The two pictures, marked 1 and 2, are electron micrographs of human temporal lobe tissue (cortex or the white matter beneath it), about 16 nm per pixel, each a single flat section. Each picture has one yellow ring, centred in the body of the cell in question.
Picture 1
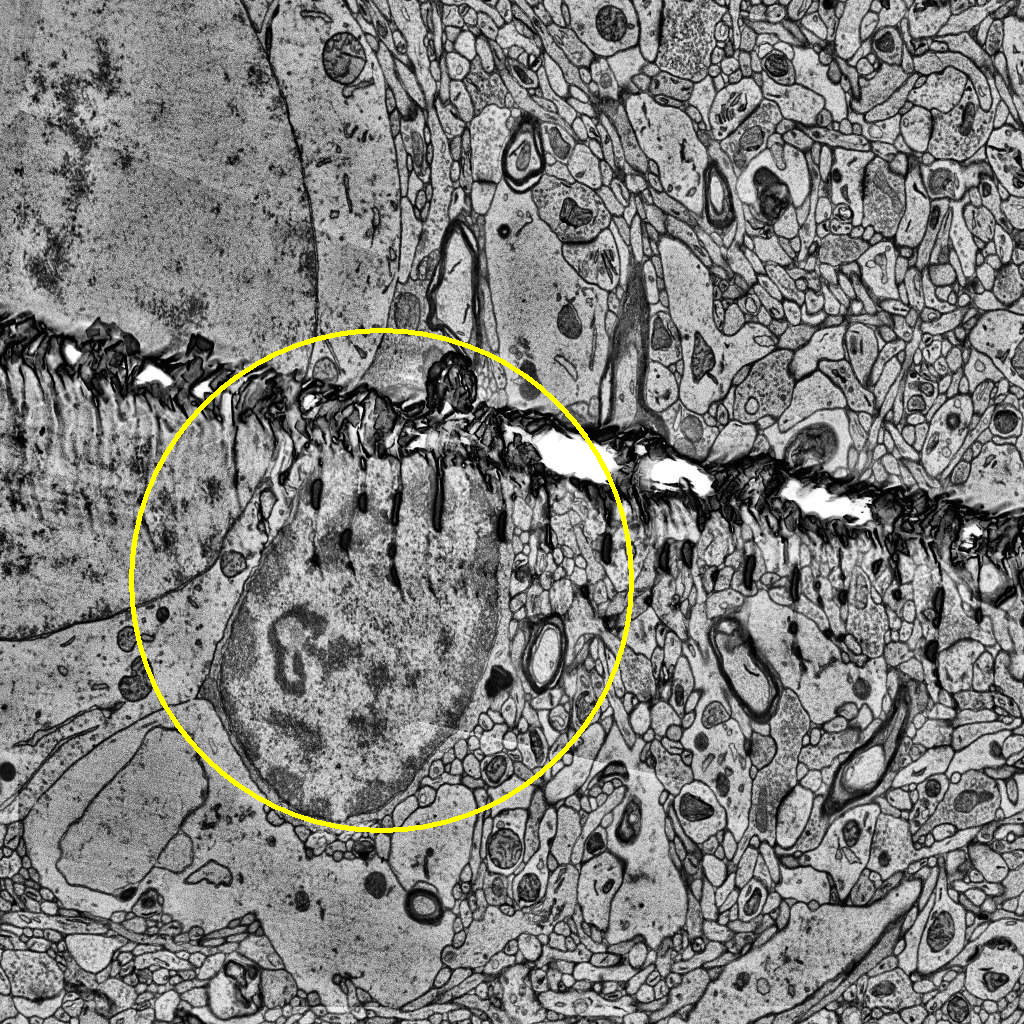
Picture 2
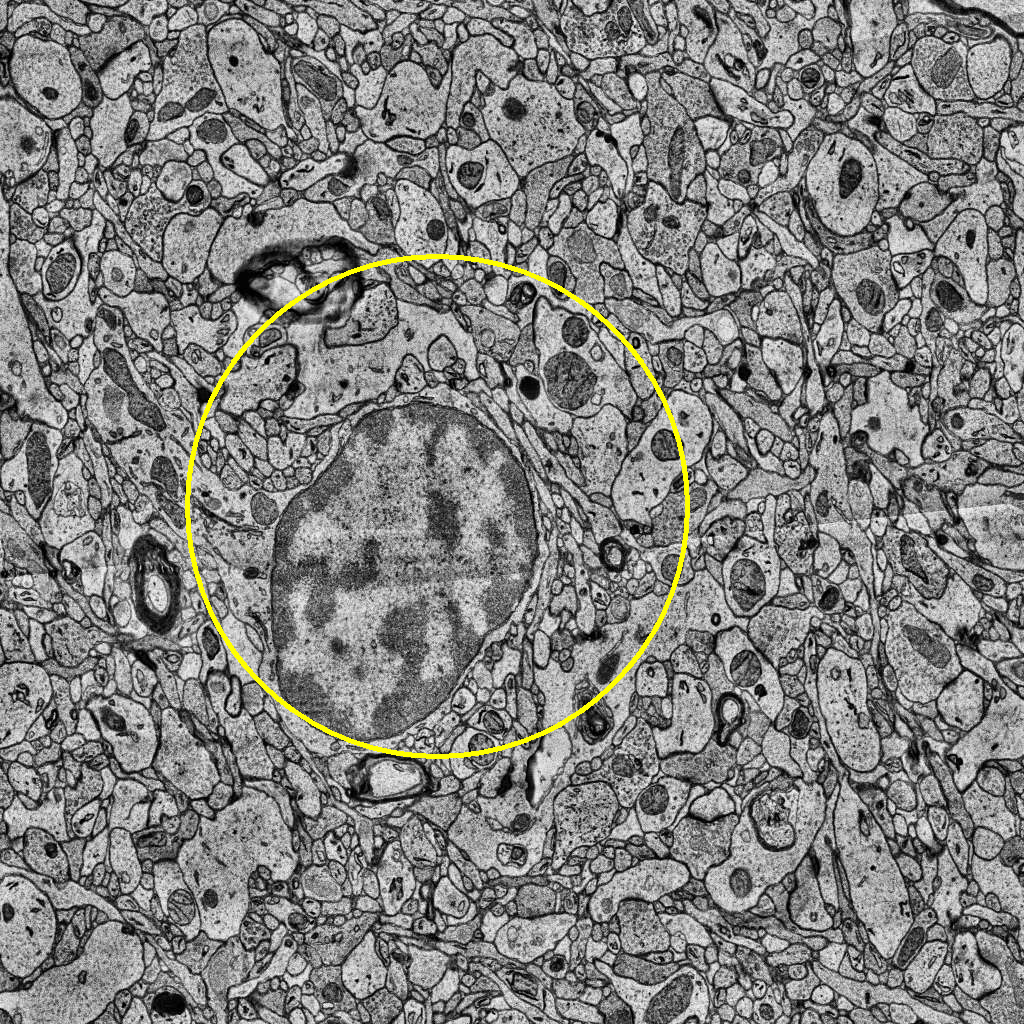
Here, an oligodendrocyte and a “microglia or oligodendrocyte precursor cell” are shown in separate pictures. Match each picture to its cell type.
It is picture 1 that shows an oligodendrocyte, and picture 2 that shows a “microglia or oligodendrocyte precursor cell”.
